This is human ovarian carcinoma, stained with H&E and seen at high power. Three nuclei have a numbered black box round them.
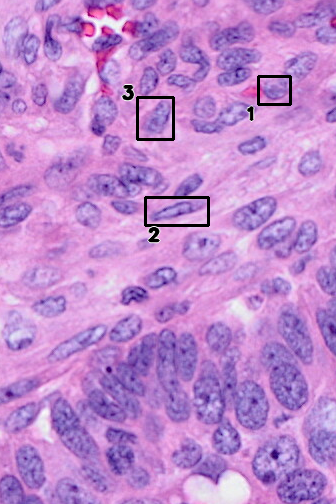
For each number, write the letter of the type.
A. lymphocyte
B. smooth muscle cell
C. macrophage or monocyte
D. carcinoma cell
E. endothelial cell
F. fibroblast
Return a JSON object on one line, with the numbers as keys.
{"1": "E", "2": "F", "3": "F"}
